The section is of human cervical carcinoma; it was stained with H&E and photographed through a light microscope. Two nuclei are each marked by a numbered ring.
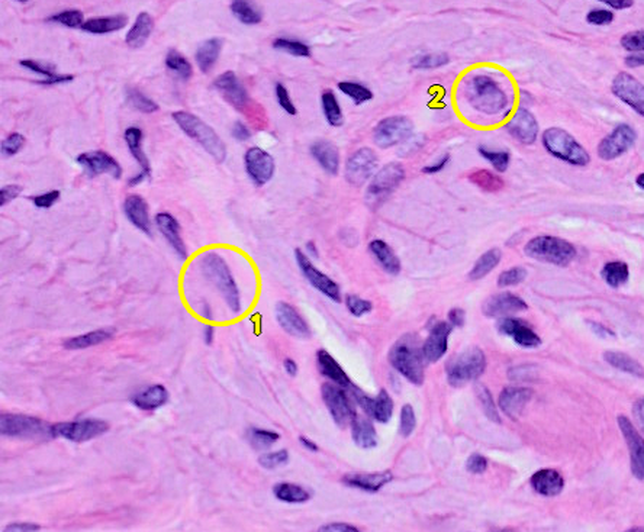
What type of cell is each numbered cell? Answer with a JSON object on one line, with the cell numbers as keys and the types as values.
{"1": "fibroblast", "2": "endothelial cell"}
